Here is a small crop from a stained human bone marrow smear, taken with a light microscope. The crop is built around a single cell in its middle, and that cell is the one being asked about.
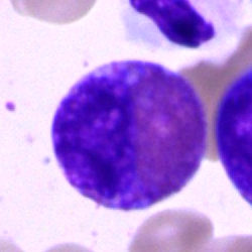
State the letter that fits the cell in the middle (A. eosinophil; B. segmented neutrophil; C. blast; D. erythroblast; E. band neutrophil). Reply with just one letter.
A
